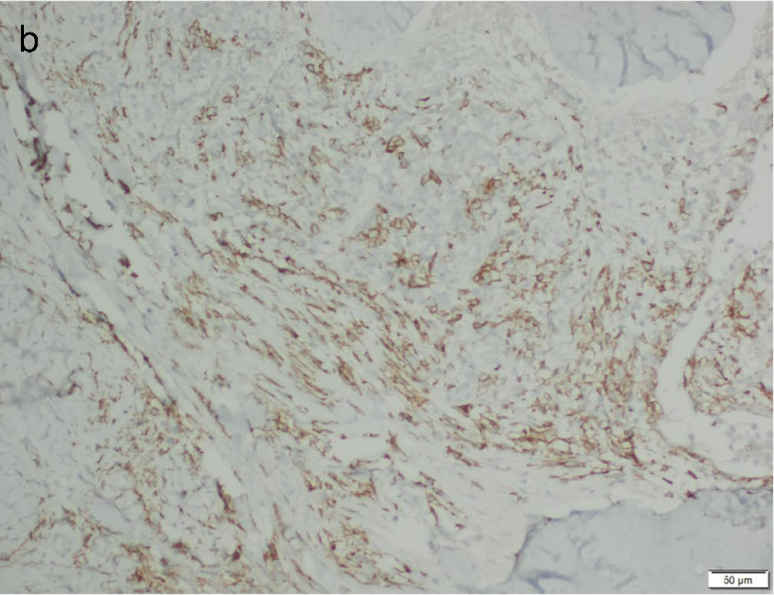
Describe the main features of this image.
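A bone marrow section between pale bone trabeculae shows a dense infiltrate of cells whose outlines are stained brown. Many of the brown-stained cells are elongated and spindle-shaped, lying in streaming, parallel bundles, while the background nuclei are lightly blue.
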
